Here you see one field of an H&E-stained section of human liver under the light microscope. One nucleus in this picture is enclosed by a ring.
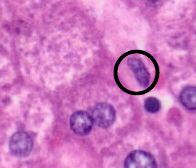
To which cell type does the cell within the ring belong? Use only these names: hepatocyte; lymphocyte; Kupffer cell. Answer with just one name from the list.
Kupffer cell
